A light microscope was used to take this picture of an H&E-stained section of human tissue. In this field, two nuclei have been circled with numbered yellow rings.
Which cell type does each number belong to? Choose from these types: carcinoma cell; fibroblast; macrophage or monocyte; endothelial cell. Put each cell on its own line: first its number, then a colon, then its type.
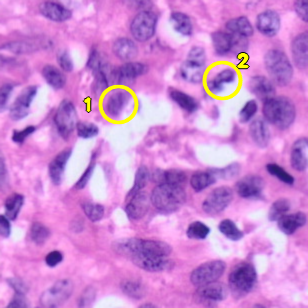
1: carcinoma cell
2: macrophage or monocyte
